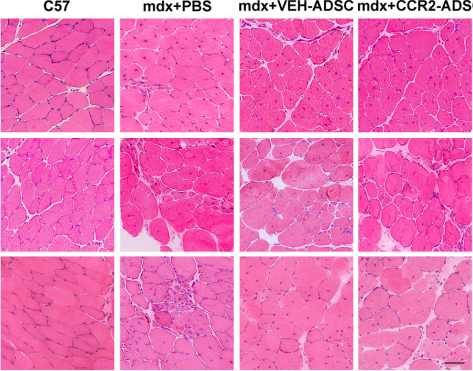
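These are cross-sections of skeletal muscle, cut across the myofibres, shown as a grid of small fields. Nuclei are small dark purple dots. In the leftmost column they sit only at the rims of the fibres, beneath the surface. In the other columns many fibres instead carry a nucleus in their centre, and fibre sizes vary more, some small and rounded beside large ones. In one field a dense cluster of many small purple nuclei lies between the fibres, breaking the regular pattern.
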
